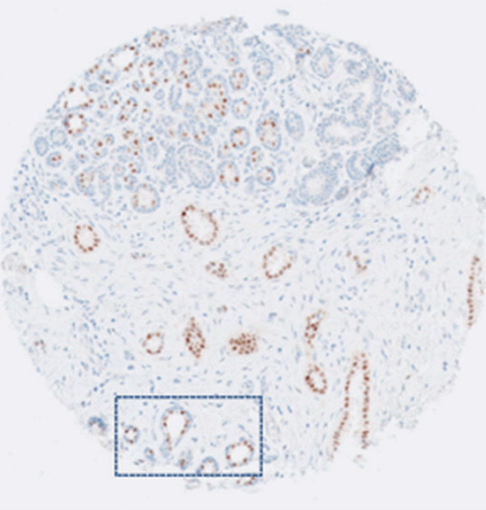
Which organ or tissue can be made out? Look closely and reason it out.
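Mammary gland. Many small round ducts and acini grouped in a lobule. Scattered ducts set in pale fibrous stroma.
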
